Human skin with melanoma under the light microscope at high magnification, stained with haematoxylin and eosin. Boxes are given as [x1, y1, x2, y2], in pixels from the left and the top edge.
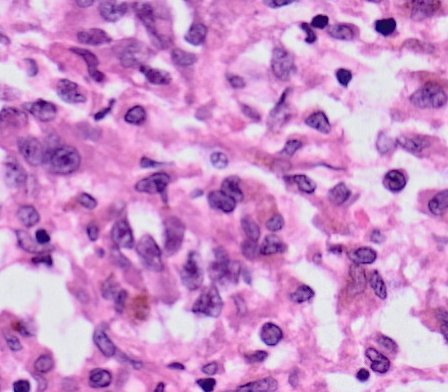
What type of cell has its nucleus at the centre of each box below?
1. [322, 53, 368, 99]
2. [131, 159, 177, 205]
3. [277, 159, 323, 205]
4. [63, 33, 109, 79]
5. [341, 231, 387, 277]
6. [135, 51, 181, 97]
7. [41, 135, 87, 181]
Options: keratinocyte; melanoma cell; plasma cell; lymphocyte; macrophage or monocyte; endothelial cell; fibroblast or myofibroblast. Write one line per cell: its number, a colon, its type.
1: lymphocyte
2: macrophage or monocyte
3: macrophage or monocyte
4: melanoma cell
5: macrophage or monocyte
6: melanoma cell
7: melanoma cell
